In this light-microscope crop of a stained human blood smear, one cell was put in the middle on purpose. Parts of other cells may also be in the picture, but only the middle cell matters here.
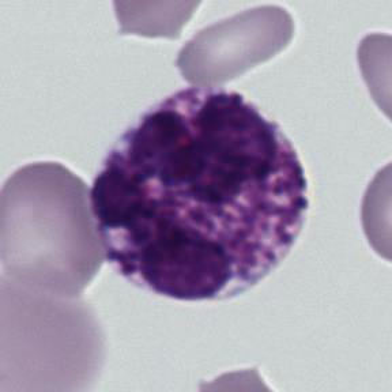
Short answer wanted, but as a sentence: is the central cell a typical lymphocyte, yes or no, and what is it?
No, the cell sitting in the centre of the crop is a basophil, not a typical lymphocyte.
